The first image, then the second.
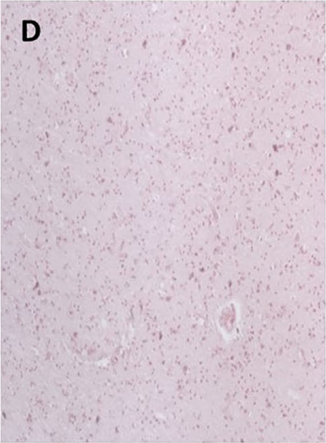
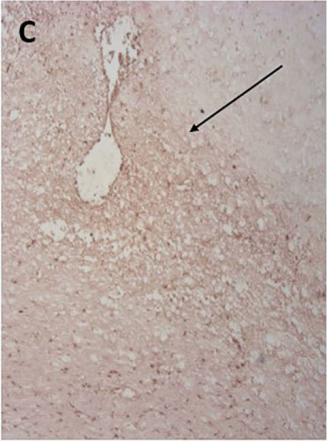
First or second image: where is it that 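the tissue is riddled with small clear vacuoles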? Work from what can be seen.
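First image: evenly pale pink tissue with scattered small nuclei and few clear spaces. Second image: brown-stained tissue full of small round clear spaces. The answer: the second image.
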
